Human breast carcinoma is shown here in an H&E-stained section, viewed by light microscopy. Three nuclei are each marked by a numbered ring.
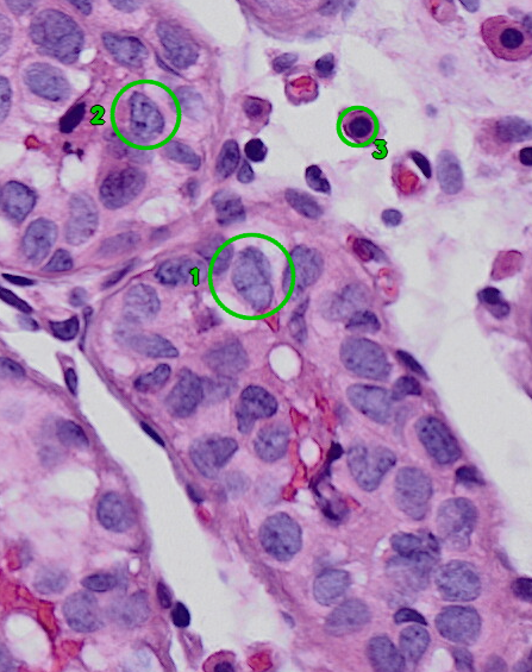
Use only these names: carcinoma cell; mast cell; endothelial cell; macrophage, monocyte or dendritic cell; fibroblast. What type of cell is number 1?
carcinoma cell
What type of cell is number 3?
mast cell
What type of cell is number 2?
carcinoma cell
